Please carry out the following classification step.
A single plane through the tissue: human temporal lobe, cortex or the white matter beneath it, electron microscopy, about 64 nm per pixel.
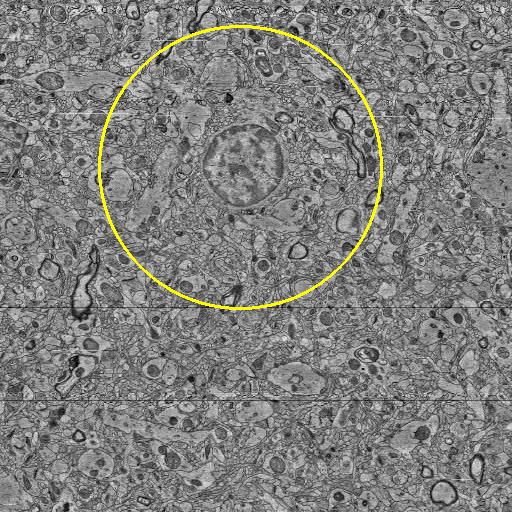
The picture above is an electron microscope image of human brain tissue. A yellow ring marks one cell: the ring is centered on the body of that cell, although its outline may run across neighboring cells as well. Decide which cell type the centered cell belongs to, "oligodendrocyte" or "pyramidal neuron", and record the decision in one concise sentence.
The cell centered in the yellow ring is an oligodendrocyte.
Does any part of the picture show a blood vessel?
No, no vessel shows anywhere in the image.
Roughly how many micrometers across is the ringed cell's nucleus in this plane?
Roughly 5 micrometers across in this plane.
